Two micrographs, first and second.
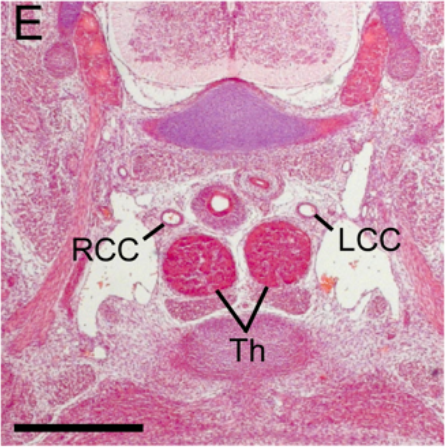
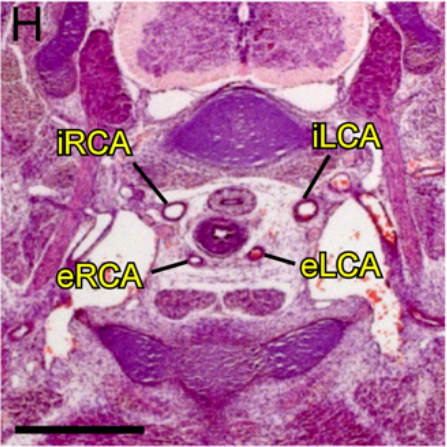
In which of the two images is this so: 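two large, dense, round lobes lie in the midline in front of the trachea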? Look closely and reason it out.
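Second image: no large round lobed organ lies in front of the trachea; only small vessels are seen. First image: two large round lobes of densely cellular tissue sit side by side below the trachea. That points to this answer: the first image.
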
